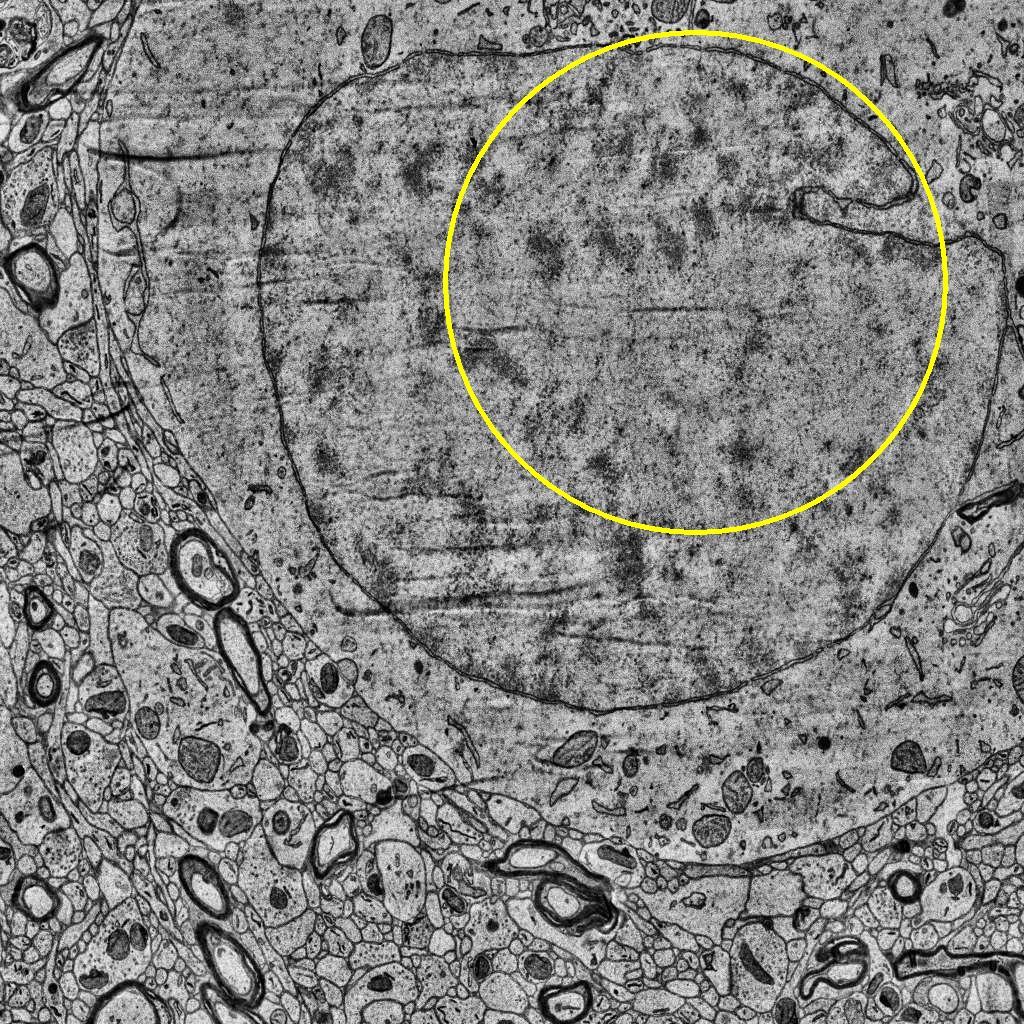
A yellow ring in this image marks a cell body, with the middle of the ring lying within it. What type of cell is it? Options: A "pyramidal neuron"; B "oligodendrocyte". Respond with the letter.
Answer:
A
